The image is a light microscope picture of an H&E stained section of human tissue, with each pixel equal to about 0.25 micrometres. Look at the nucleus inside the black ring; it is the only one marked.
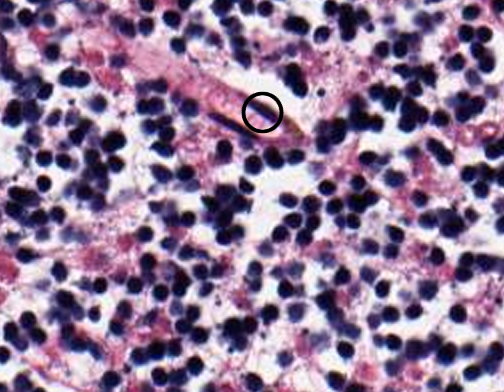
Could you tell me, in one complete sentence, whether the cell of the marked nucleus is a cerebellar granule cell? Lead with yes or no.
No, the marked nucleus is assigned not to a cerebellar granule cell but to a supporting cell.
